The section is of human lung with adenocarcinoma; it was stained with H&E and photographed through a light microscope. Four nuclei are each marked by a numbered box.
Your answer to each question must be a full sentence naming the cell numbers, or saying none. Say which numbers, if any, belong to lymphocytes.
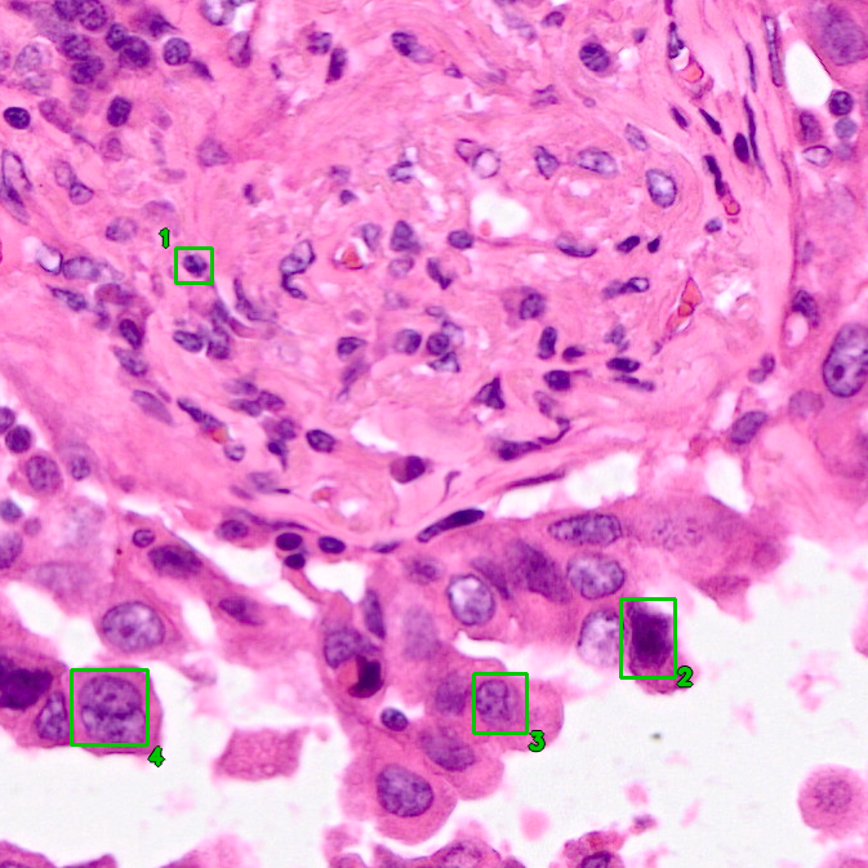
Where the numbered cells are concerned, only number 1 is a lymphocyte.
